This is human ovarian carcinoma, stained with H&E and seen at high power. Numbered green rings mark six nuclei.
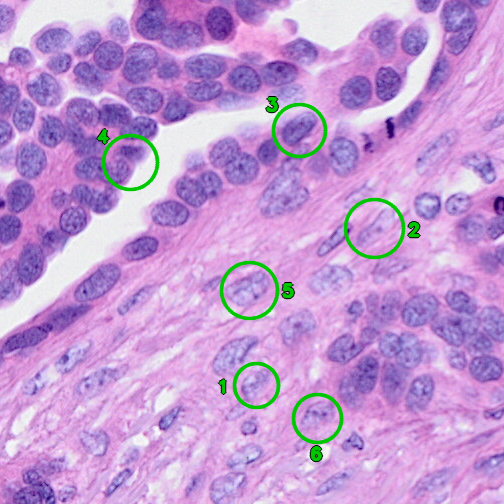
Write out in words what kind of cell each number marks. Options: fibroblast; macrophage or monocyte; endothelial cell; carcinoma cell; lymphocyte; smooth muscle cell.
Cells 1, 2, 5 and 6 are fibroblasts. Cells 3 and 4 are carcinoma cells.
